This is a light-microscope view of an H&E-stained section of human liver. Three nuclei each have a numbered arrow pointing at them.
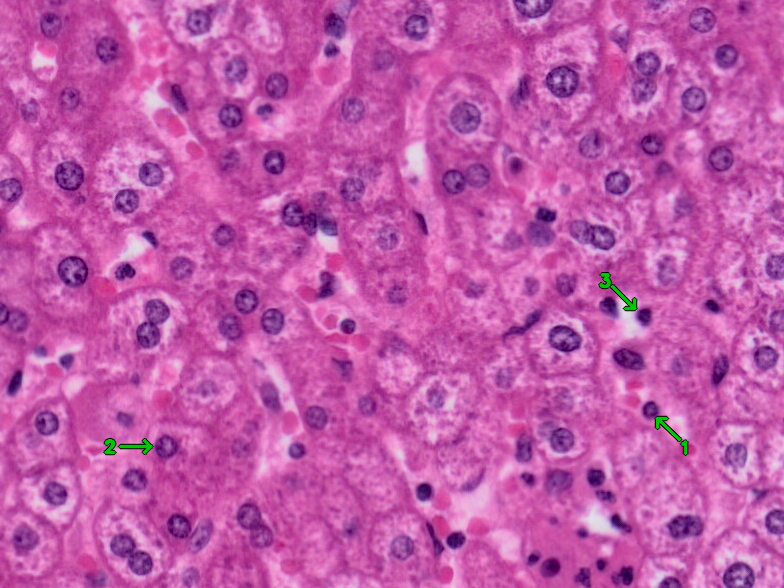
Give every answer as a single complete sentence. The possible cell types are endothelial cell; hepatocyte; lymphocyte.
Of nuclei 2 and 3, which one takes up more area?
Number 2 is larger; its area is about 1.5 times that of number 3.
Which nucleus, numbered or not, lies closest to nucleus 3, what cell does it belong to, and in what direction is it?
The nearest nucleus is that of an endothelial cell and lies to the left of nucleus 3.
